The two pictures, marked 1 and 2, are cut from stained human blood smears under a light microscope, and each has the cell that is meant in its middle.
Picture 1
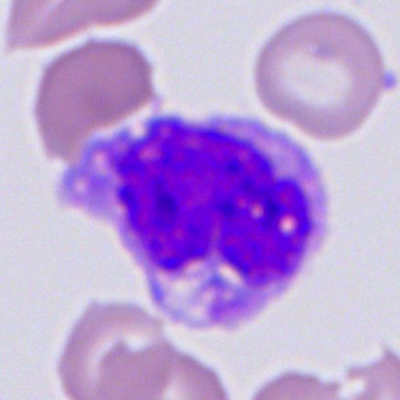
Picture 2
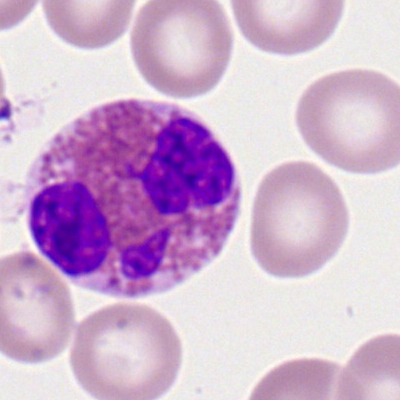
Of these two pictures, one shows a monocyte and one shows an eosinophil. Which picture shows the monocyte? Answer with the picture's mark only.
1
